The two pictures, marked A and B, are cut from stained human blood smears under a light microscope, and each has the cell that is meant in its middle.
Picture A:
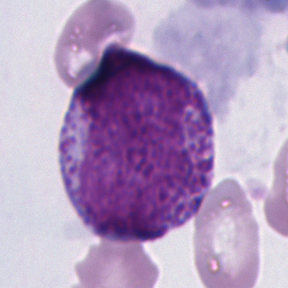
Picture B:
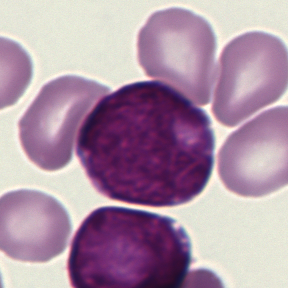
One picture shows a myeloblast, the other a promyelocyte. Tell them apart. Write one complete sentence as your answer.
The cell in picture A is a promyelocyte, and the one in picture B is a myeloblast.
